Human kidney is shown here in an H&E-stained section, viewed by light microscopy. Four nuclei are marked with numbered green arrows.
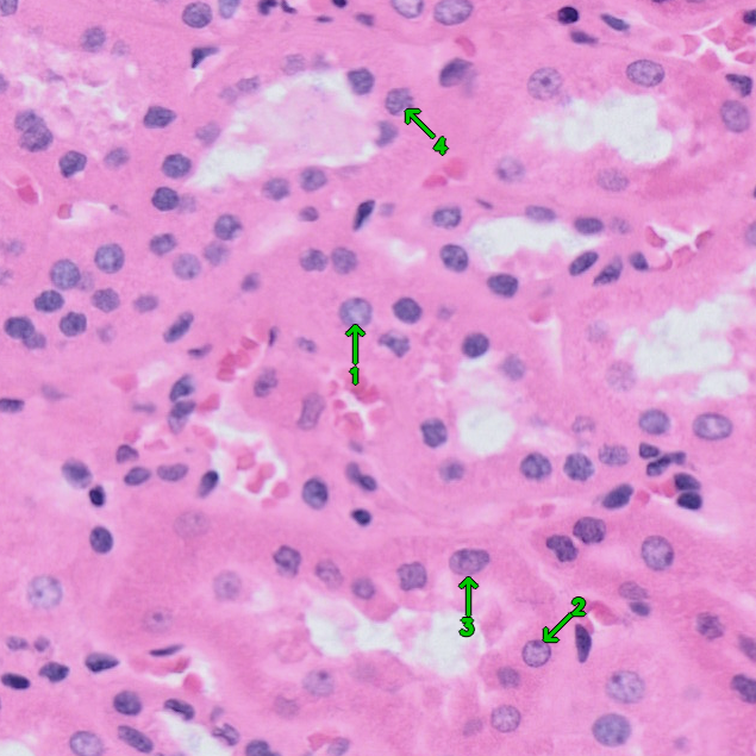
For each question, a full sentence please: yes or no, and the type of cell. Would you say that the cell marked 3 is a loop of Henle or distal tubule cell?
No, number 3 does not mark a loop of Henle or distal tubule cell; it marks a proximal tubule cell.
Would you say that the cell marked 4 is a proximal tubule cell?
No, cell 4 is a loop of Henle or distal tubule cell and should not be called a proximal tubule cell.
